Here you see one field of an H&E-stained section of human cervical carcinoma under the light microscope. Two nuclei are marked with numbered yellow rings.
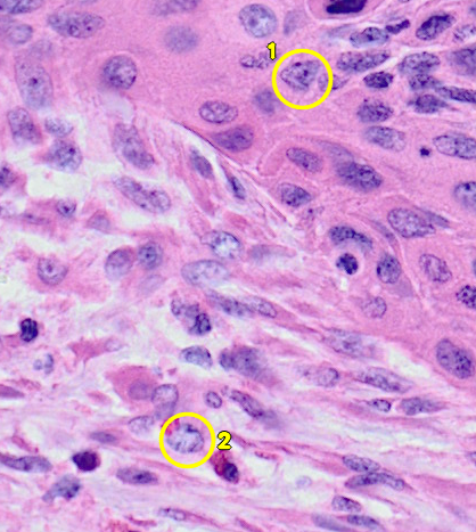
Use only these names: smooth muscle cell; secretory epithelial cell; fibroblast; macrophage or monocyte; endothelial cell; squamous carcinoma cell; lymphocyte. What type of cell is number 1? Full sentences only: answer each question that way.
The numbered cell 1 is identified here as a squamous carcinoma cell.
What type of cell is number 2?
Here the cell numbered 2 is an endothelial cell.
